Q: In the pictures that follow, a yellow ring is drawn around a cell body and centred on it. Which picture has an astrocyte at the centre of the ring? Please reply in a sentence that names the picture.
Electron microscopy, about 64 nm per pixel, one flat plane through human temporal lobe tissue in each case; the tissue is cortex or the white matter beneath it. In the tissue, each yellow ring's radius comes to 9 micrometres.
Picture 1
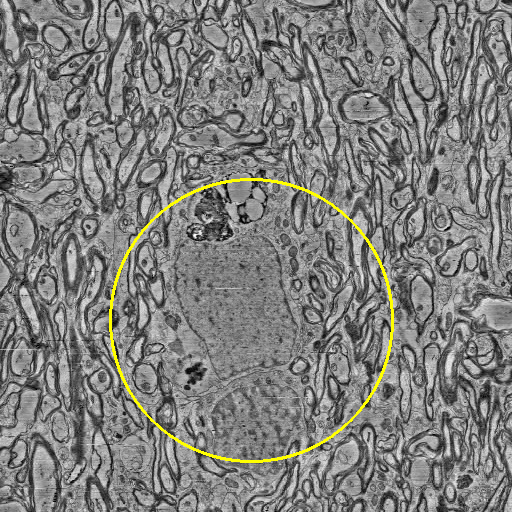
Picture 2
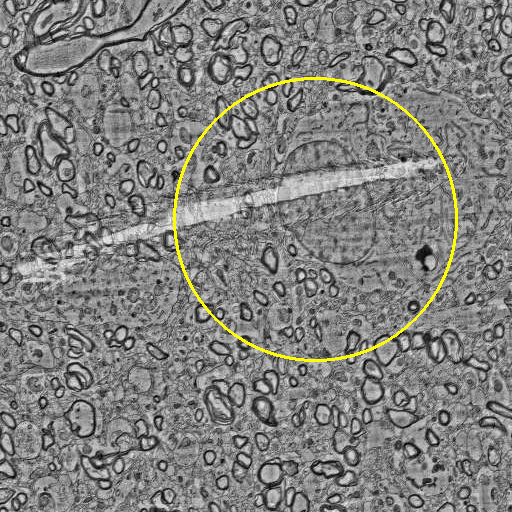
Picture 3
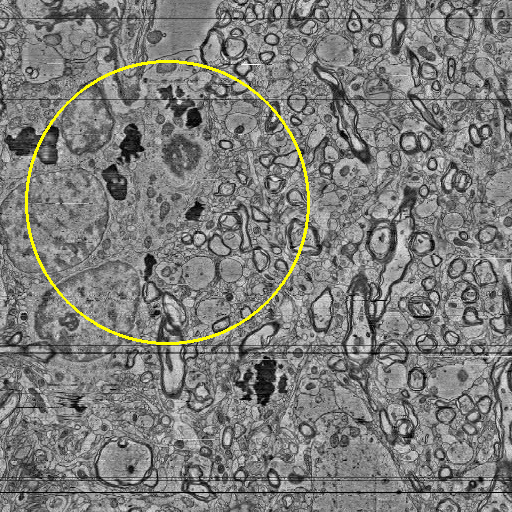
Picture 1 shows it at the centre of its ring.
